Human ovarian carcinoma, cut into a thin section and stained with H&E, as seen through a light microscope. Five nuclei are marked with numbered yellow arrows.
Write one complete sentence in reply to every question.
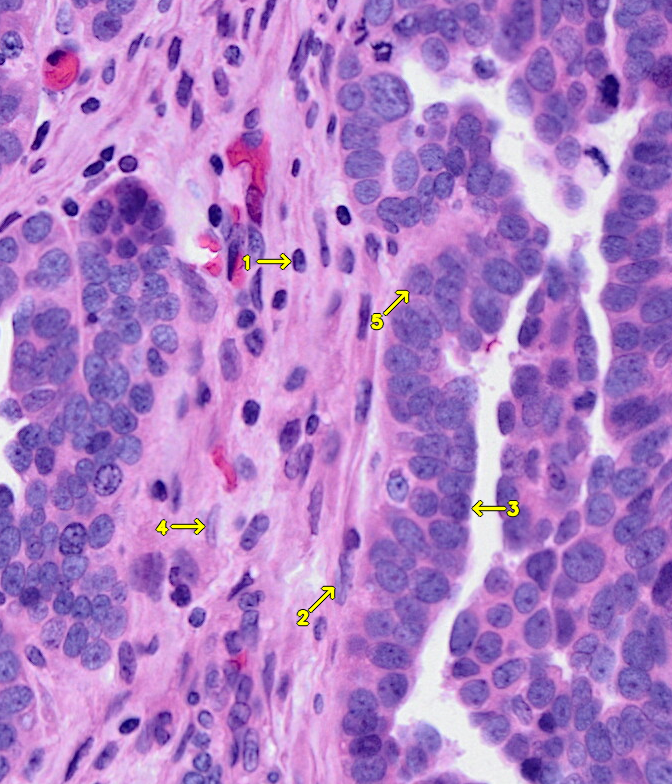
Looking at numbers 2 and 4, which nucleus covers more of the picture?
Nucleus 2 covers more area, about 2 times as much as nucleus 4.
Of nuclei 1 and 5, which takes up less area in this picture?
Nucleus 1 is the smaller one; nucleus 5 covers about 2 times its area.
